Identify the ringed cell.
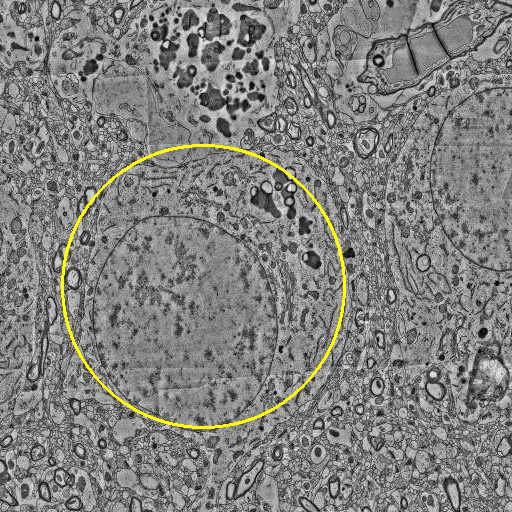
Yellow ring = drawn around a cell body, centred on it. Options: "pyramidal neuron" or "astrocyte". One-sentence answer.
What the ring is centred on is a pyramidal neuron.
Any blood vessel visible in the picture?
Yes, a vessel shows somewhere in the image.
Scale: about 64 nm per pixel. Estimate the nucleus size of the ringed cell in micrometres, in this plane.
The nucleus of the ringed cell is approximately 14 by 12 micrometres in this plane.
